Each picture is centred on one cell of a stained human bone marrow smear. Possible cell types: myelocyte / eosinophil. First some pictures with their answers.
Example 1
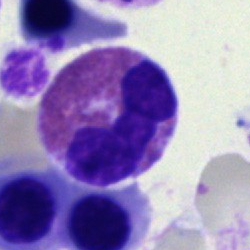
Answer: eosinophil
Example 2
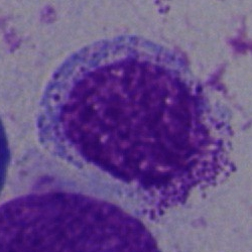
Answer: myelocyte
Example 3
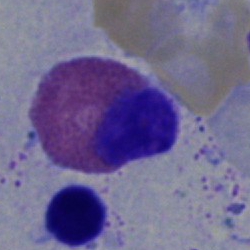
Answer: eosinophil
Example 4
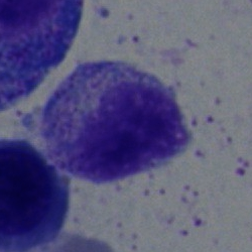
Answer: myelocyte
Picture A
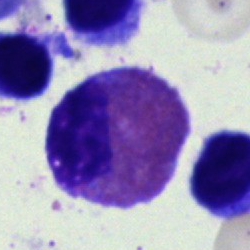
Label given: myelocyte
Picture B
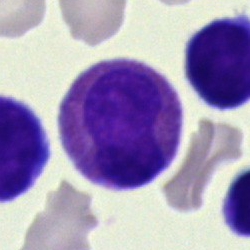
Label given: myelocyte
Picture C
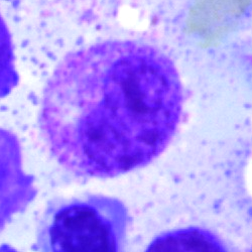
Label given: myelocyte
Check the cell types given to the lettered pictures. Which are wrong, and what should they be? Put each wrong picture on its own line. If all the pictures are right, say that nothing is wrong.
A: change myelocyte to eosinophil
B: change myelocyte to eosinophil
